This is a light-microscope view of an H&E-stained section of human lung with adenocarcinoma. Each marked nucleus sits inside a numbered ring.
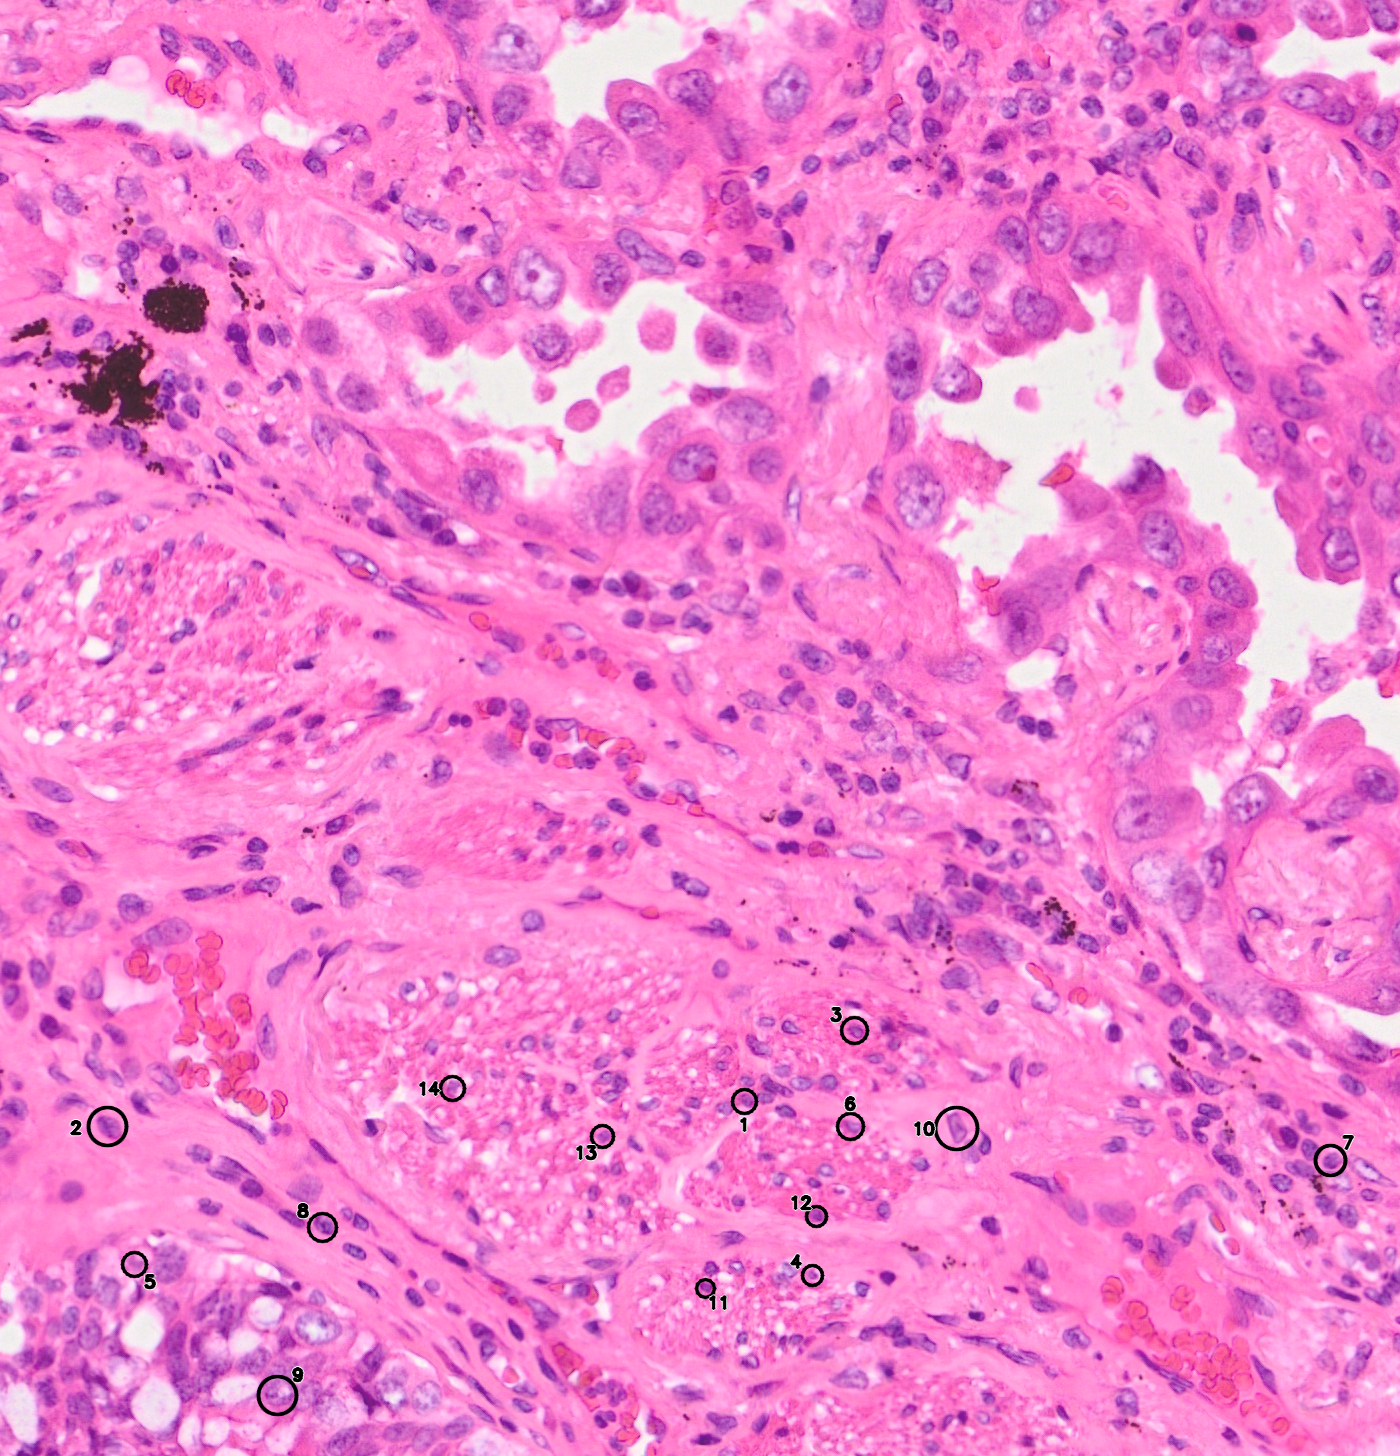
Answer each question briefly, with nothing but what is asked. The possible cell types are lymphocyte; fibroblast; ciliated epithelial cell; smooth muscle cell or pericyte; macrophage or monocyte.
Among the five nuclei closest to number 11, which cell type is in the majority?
smooth muscle cell or pericyte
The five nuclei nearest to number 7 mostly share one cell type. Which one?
fibroblast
